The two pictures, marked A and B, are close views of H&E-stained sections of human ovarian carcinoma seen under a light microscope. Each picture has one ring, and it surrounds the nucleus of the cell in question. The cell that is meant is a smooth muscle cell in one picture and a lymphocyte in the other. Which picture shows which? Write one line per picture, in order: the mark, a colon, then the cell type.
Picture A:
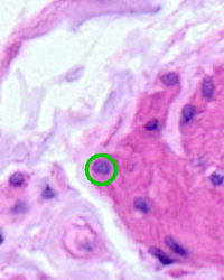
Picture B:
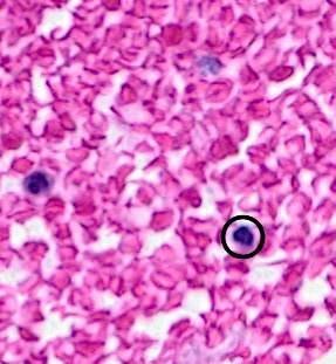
A: smooth muscle cell
B: lymphocyte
